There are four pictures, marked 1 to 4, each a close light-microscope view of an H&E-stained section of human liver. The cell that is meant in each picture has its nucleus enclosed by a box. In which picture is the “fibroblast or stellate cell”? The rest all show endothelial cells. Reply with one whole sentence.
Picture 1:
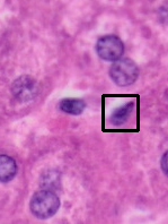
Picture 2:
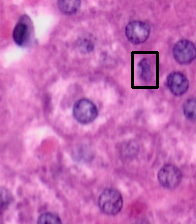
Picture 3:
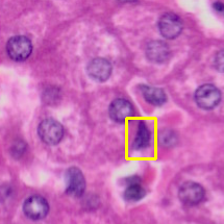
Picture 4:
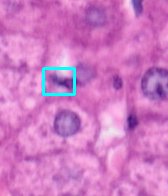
The picture with the “fibroblast or stellate cell” is 3.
